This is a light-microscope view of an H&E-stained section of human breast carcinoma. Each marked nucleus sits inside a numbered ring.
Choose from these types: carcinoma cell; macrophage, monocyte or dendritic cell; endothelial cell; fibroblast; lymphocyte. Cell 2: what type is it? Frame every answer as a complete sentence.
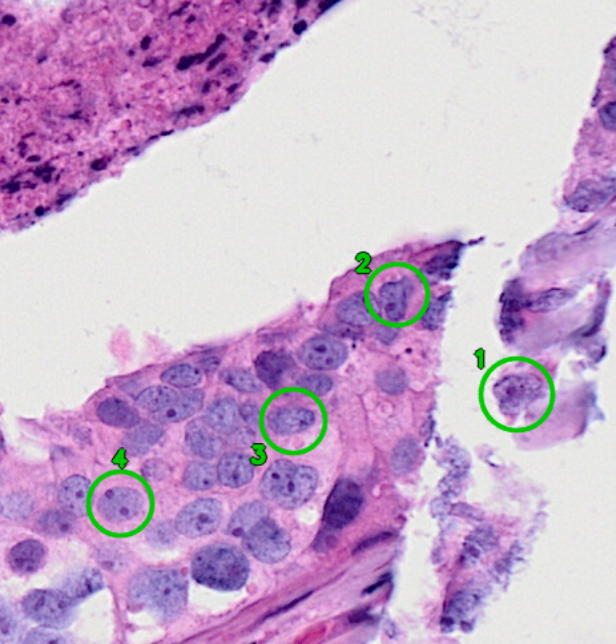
Among the marked nuclei, number 2 belongs to a carcinoma cell.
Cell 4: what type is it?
In this section, the cell numbered 4 is a carcinoma cell.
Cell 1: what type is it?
Here, the cell given the number 1 is a fibroblast.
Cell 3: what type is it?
The cell bearing label 3 corresponds to a carcinoma cell.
